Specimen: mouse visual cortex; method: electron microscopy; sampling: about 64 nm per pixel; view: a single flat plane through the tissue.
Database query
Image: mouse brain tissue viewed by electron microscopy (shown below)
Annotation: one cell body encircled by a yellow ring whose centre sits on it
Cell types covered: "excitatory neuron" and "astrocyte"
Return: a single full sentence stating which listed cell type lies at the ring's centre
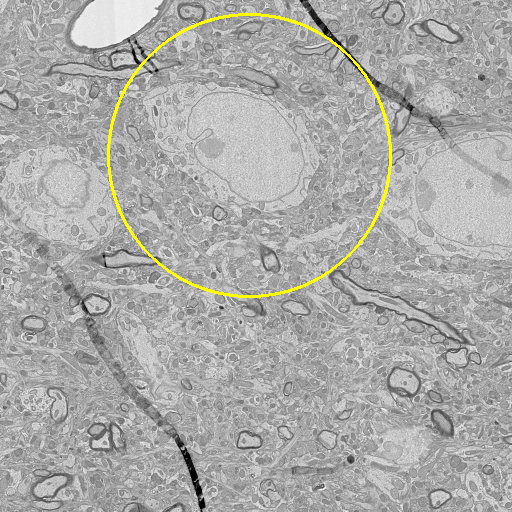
In the image, the cell lying at the ring's centre is an excitatory neuron.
